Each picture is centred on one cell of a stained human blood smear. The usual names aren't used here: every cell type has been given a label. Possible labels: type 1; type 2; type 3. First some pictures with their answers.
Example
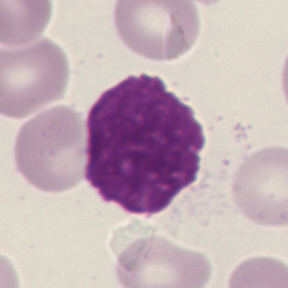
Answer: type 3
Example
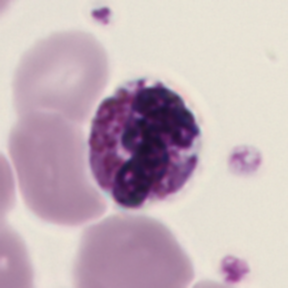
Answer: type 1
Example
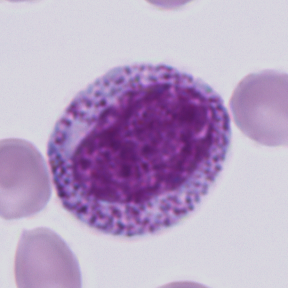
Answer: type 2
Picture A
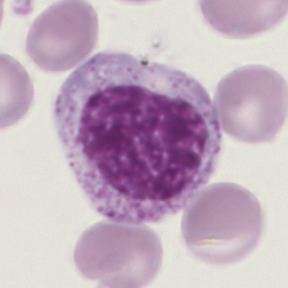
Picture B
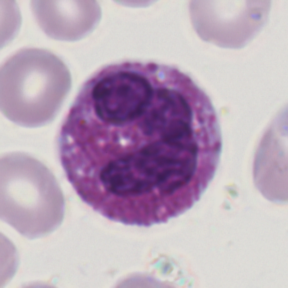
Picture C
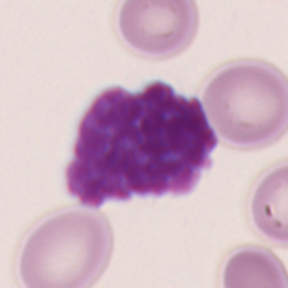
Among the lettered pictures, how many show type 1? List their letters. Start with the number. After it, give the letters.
1, namely B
